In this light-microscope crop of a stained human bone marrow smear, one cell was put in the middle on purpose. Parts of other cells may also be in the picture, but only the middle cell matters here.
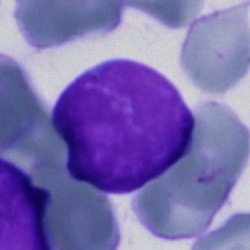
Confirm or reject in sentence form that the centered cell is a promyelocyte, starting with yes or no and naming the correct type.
No, the cell placed in the centre is a blast and is not a promyelocyte.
